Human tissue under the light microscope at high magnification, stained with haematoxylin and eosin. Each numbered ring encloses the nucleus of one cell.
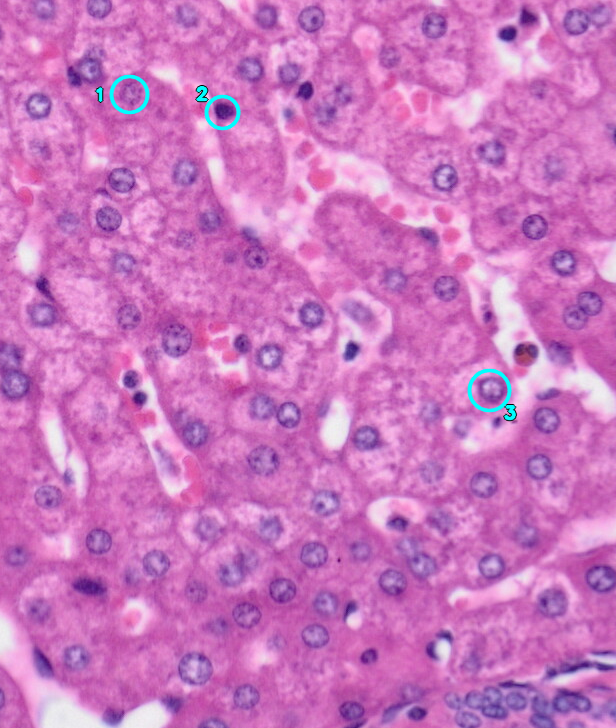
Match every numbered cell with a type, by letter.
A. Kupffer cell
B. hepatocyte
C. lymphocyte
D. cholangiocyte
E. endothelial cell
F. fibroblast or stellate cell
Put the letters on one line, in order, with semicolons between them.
B; F; B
